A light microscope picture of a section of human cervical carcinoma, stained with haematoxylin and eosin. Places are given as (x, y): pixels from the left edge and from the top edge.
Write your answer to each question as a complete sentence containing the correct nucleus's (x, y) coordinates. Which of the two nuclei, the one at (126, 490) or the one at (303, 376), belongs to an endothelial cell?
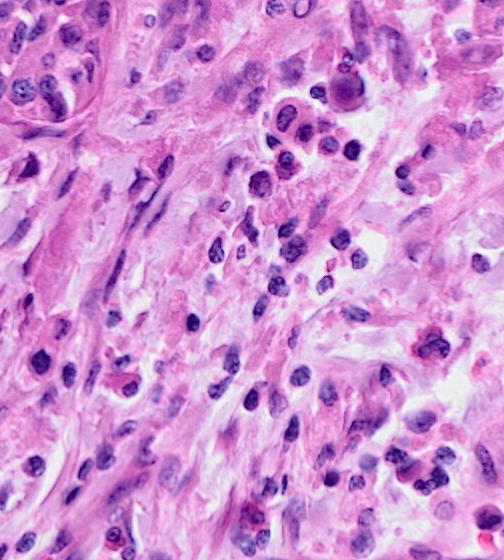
The one belonging to an endothelial cell is the nucleus at (126, 490), not the other.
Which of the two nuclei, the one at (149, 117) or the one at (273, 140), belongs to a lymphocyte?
The cell to which the nucleus at (273, 140) belongs is a lymphocyte.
